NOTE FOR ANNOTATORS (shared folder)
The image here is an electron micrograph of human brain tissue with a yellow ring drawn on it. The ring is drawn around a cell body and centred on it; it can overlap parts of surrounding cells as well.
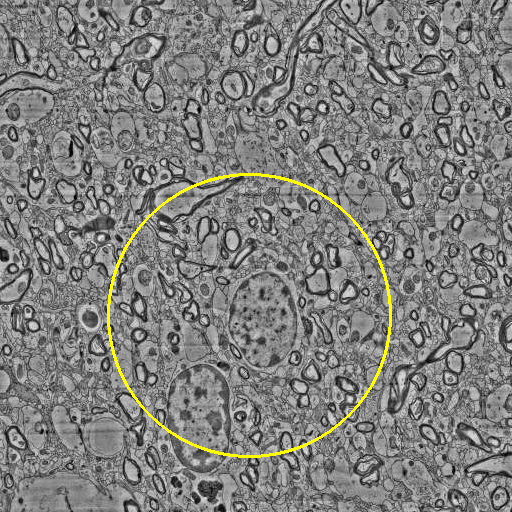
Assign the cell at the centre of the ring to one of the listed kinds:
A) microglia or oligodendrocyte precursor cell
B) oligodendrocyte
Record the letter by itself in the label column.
A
